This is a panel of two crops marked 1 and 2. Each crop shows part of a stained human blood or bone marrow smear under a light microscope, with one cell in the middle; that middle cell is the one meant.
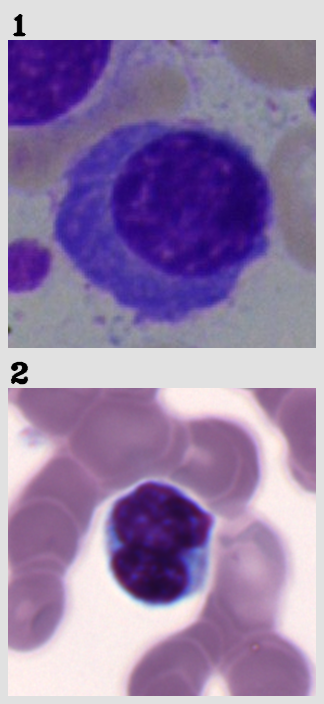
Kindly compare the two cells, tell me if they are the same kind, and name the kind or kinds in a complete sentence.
No, a plasma cell is the cell in crop 1; a lymphocyte is the cell in crop 2.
